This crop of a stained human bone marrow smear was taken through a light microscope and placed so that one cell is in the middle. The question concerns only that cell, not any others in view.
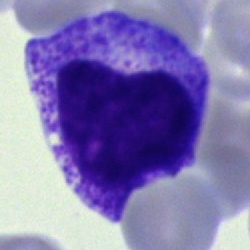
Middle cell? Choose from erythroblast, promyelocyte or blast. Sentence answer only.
The identification for the central cell is a promyelocyte.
